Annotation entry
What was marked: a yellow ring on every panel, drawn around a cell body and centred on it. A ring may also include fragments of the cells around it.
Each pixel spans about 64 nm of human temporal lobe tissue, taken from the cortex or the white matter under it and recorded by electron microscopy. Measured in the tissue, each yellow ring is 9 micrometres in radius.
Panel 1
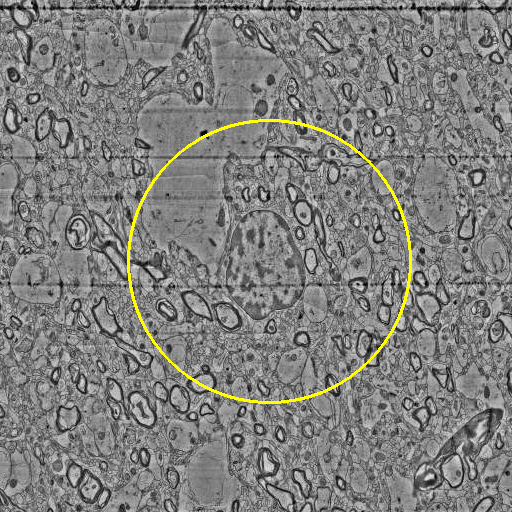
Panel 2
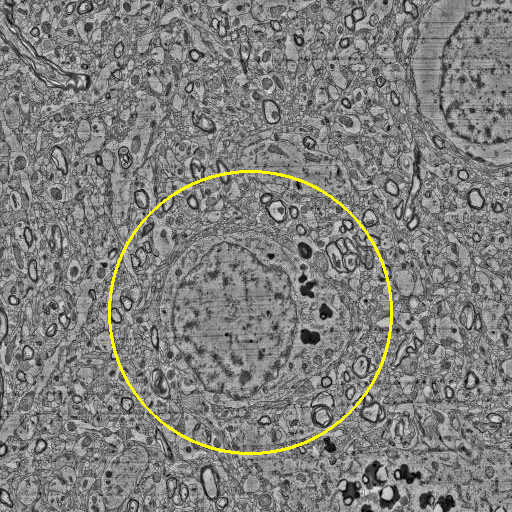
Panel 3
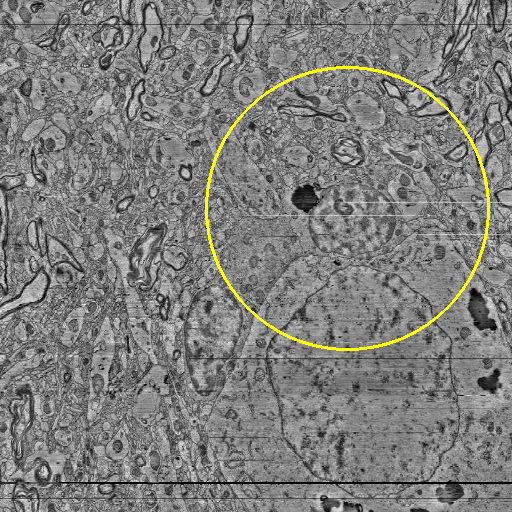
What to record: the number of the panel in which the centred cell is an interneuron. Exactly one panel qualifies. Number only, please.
2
